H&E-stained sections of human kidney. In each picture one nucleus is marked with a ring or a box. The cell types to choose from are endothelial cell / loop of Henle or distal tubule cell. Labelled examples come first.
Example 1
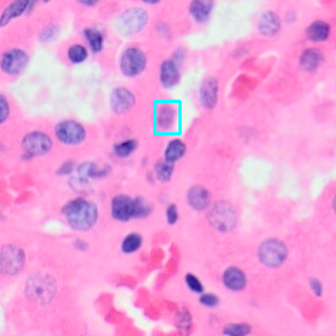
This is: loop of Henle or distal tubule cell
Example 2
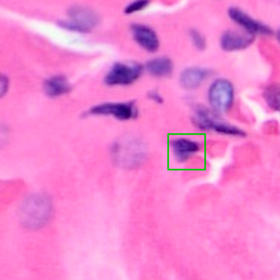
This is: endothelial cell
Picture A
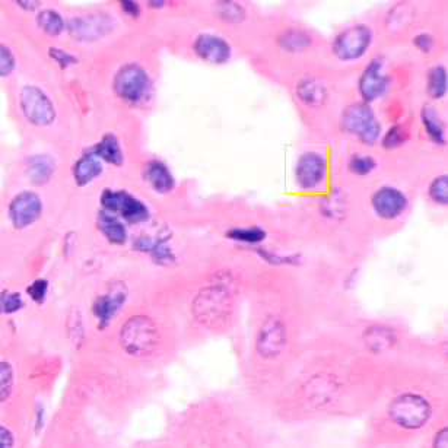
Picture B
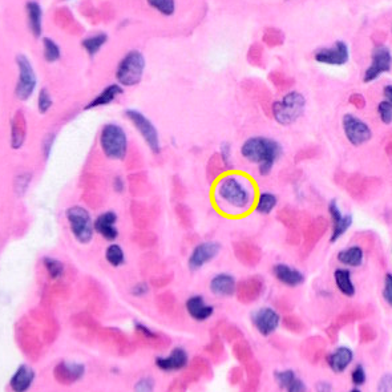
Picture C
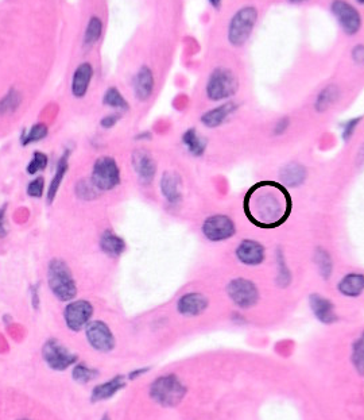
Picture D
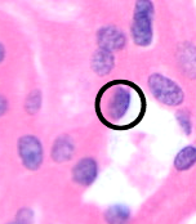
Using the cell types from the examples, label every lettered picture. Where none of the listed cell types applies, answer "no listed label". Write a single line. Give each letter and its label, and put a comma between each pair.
A loop of Henle or distal tubule cell, B endothelial cell, C no listed label, D loop of Henle or distal tubule cell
